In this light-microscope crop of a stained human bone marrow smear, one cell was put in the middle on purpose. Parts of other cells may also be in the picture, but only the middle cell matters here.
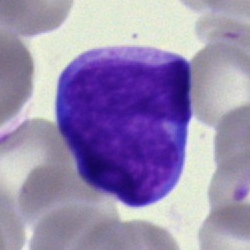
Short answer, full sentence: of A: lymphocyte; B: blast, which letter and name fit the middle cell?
Option B is correct in that the central cell is a blast.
